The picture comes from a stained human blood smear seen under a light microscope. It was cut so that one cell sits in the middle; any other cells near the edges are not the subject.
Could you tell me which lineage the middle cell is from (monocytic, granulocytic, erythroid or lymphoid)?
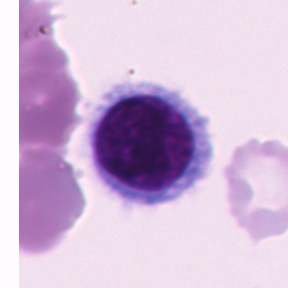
lymphoid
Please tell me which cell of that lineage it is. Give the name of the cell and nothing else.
hairy cell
